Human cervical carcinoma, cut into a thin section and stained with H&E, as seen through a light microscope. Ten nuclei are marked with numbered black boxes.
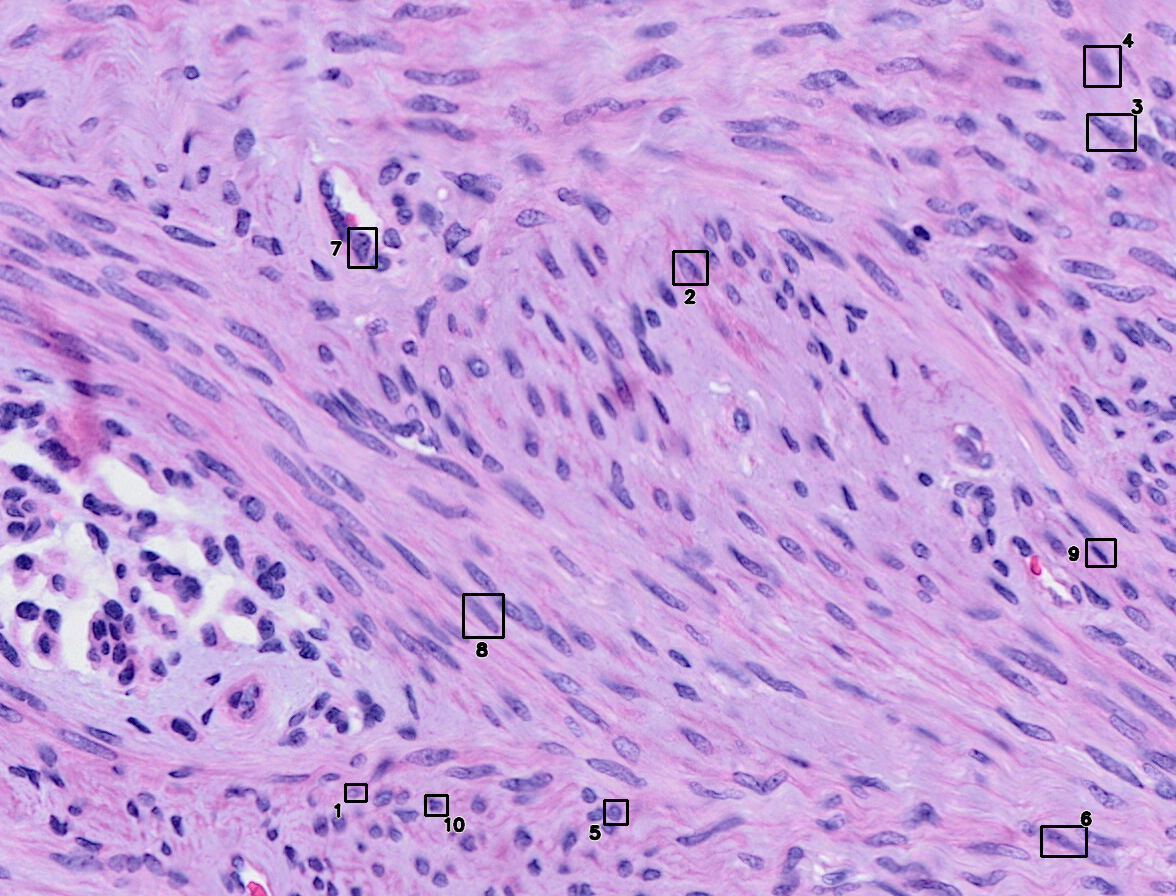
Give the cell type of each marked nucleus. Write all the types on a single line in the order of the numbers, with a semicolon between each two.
smooth muscle cell; smooth muscle cell; fibroblast; fibroblast; smooth muscle cell; smooth muscle cell; endothelial cell; smooth muscle cell; fibroblast; smooth muscle cell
